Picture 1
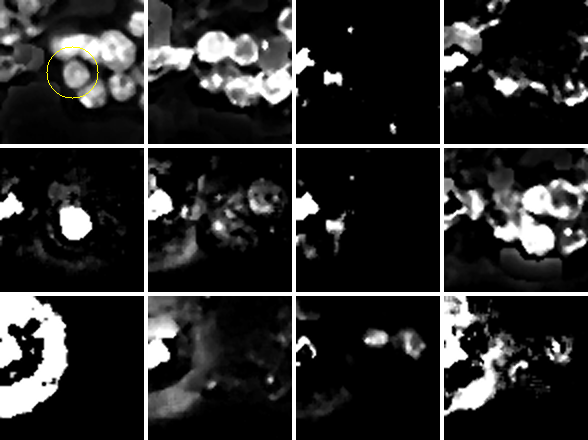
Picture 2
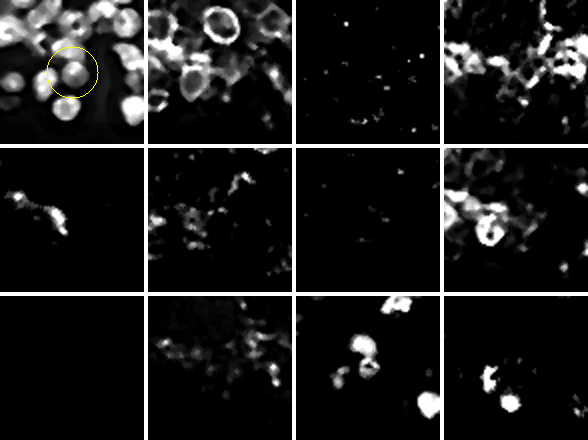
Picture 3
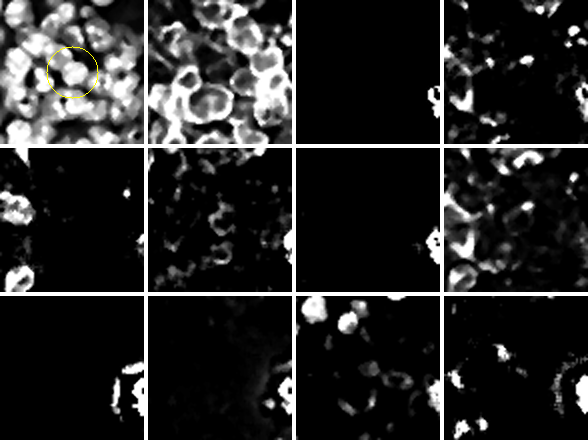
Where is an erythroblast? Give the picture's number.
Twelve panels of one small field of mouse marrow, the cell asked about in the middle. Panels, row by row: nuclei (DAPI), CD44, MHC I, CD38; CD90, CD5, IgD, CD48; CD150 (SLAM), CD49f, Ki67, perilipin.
2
